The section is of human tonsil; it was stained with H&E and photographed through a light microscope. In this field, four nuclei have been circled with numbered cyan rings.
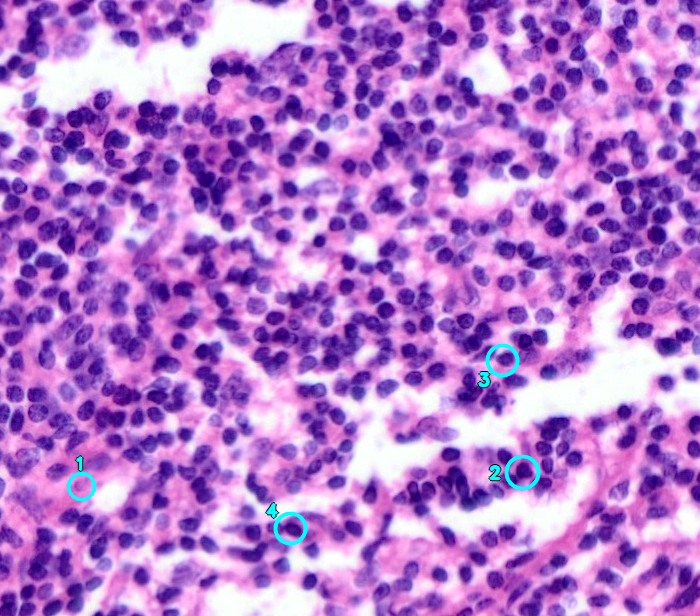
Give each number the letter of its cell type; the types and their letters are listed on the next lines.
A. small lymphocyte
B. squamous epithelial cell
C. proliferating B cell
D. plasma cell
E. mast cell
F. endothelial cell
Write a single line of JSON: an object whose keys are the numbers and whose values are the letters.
{"1": "F", "2": "A", "3": "A", "4": "A"}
